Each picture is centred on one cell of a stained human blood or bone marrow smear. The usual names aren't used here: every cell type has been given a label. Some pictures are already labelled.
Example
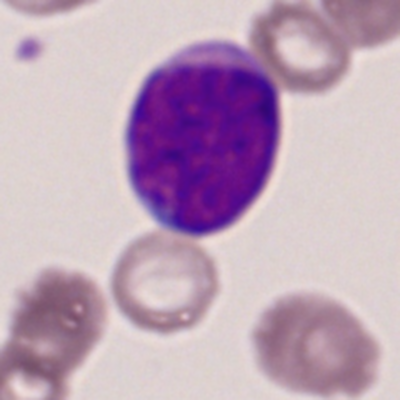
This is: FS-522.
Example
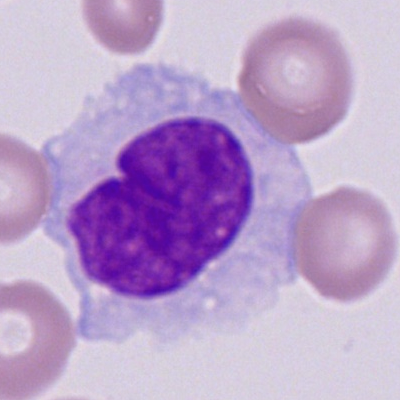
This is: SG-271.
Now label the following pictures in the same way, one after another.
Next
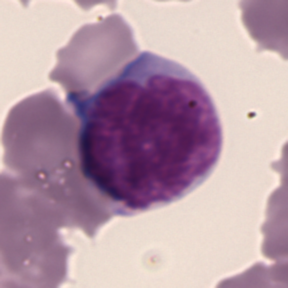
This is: FS-522.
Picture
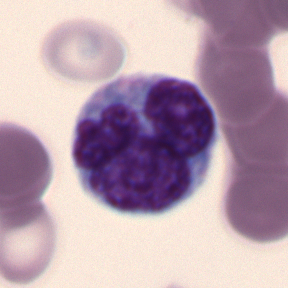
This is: SG-271.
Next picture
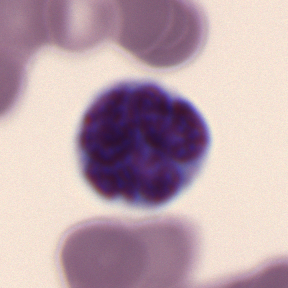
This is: SG-271.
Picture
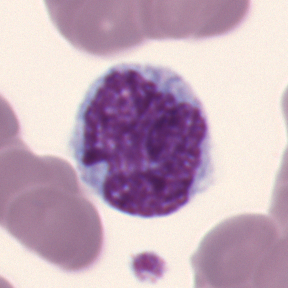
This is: SG-271.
